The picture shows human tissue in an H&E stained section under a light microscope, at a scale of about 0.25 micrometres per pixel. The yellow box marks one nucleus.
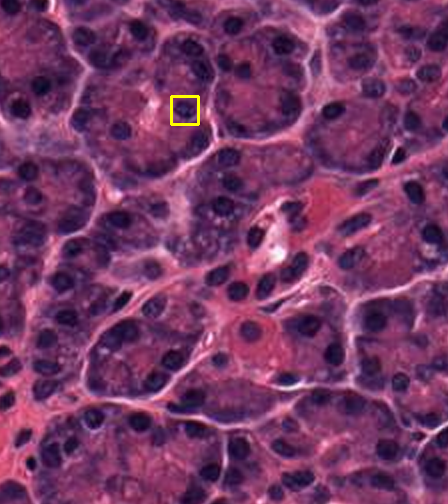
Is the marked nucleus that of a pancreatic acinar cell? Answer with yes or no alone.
yes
